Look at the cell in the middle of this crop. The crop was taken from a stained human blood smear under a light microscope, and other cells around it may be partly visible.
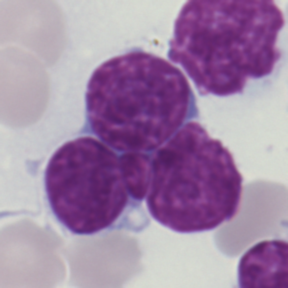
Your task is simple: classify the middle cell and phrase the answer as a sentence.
Classification of the middle cell gives a myeloblast.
